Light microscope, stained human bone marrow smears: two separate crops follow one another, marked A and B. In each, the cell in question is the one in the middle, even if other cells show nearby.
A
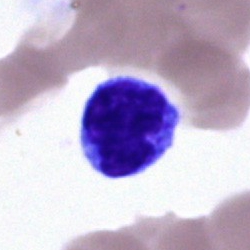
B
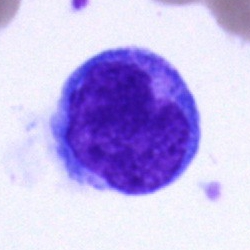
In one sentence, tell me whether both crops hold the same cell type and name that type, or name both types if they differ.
No, in crop A the cell is a lymphocyte, and in crop B it is a blast.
